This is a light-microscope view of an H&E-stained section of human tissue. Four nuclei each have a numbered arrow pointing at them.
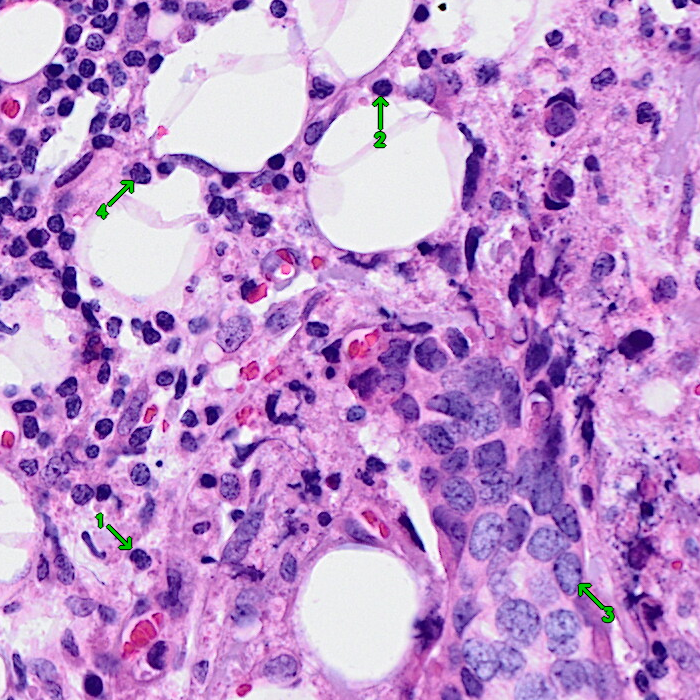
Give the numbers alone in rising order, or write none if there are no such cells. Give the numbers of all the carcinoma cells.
3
